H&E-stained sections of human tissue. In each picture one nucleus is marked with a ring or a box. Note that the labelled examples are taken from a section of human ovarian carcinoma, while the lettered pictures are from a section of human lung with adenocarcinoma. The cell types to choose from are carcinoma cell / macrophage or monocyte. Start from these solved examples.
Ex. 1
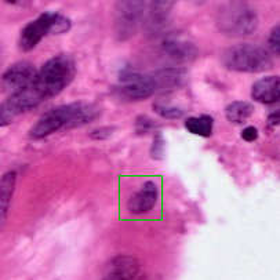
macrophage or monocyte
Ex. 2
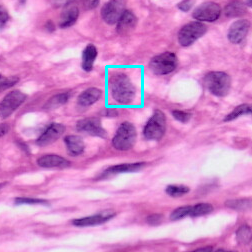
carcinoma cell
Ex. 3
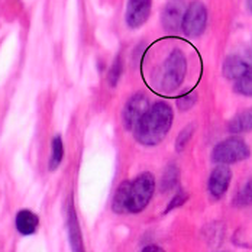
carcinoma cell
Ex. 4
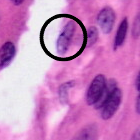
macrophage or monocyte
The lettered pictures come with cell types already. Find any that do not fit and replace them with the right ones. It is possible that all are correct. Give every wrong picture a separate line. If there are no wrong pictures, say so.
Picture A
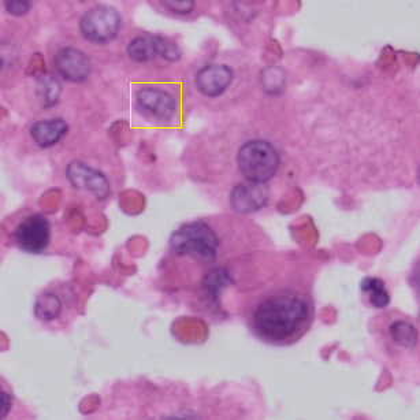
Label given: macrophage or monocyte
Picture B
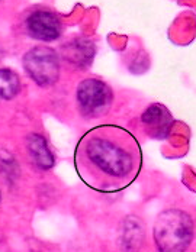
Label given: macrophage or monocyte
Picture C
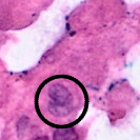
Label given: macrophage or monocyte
All correct.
